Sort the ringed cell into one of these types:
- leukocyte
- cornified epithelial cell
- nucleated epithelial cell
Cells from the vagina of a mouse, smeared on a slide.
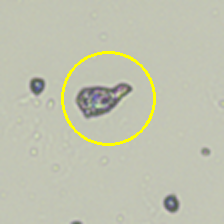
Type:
cornified epithelial cell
